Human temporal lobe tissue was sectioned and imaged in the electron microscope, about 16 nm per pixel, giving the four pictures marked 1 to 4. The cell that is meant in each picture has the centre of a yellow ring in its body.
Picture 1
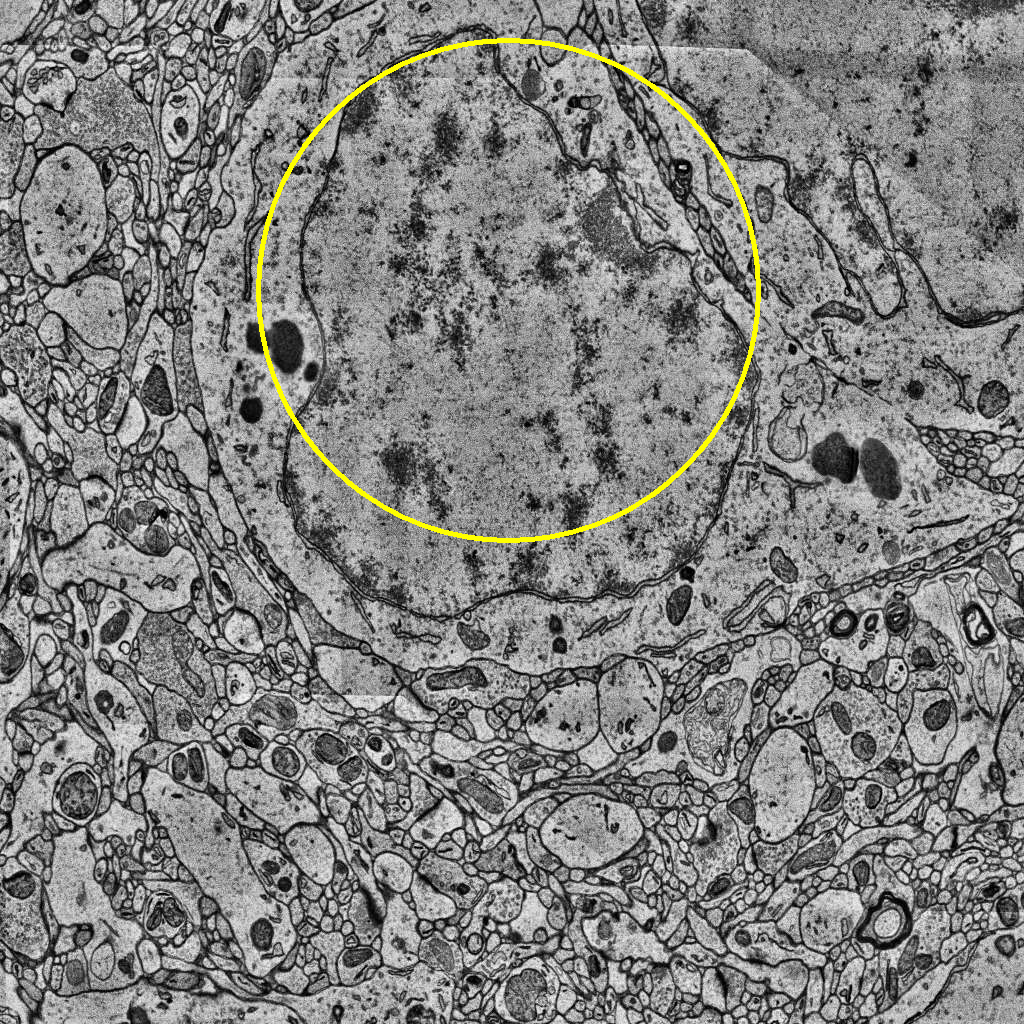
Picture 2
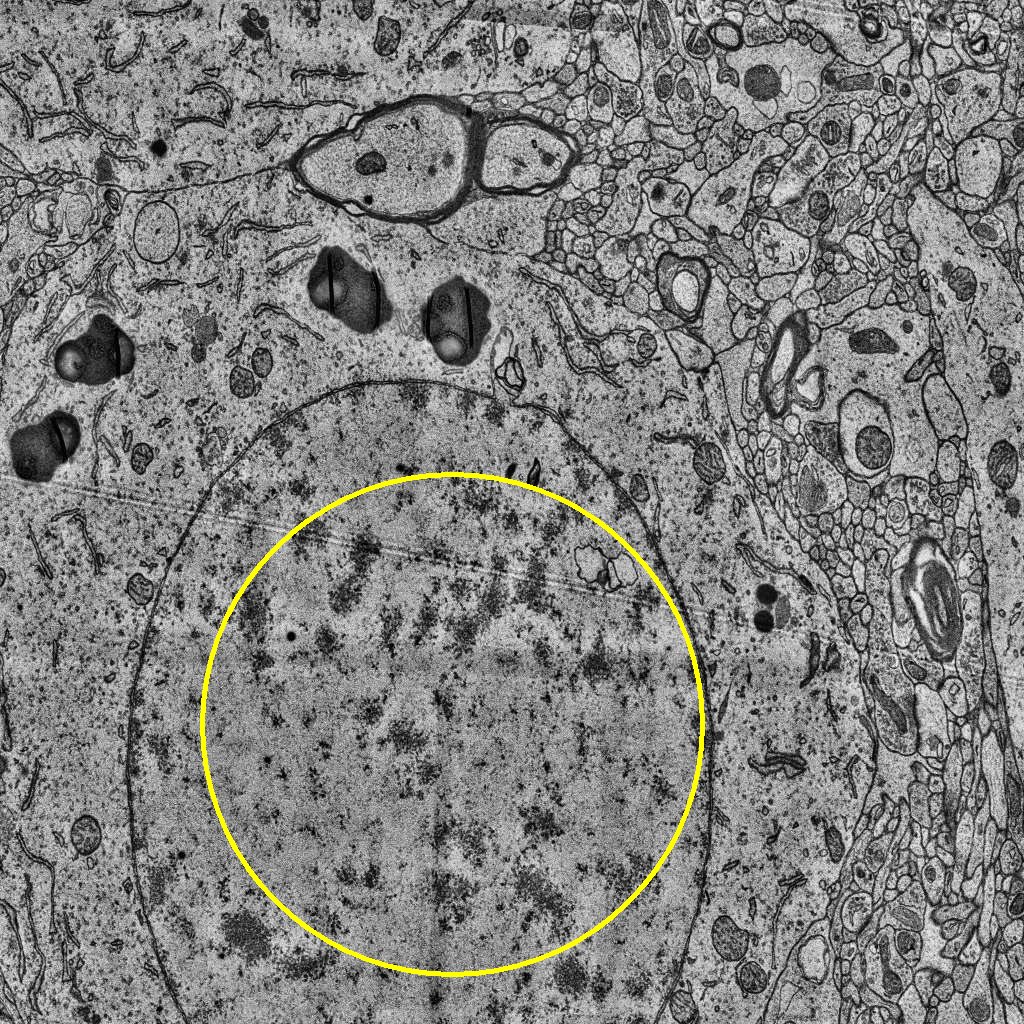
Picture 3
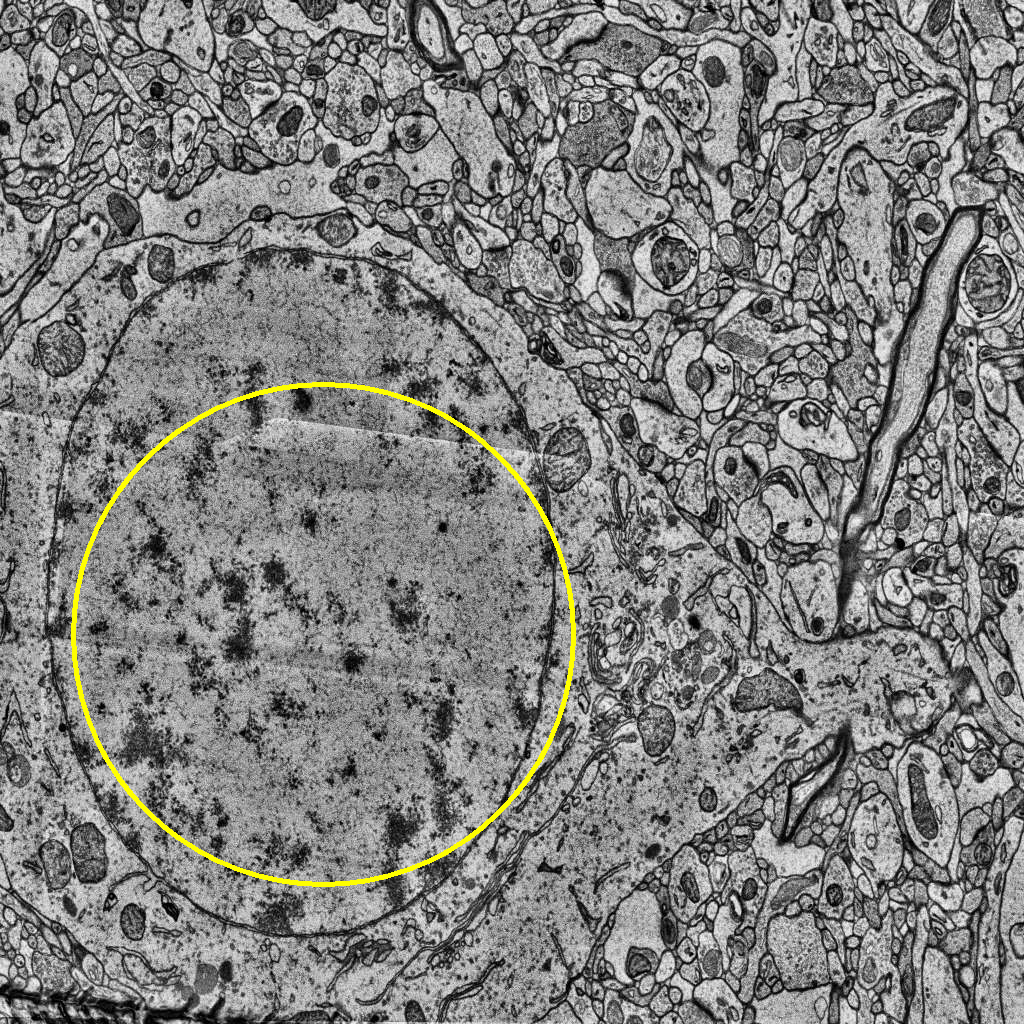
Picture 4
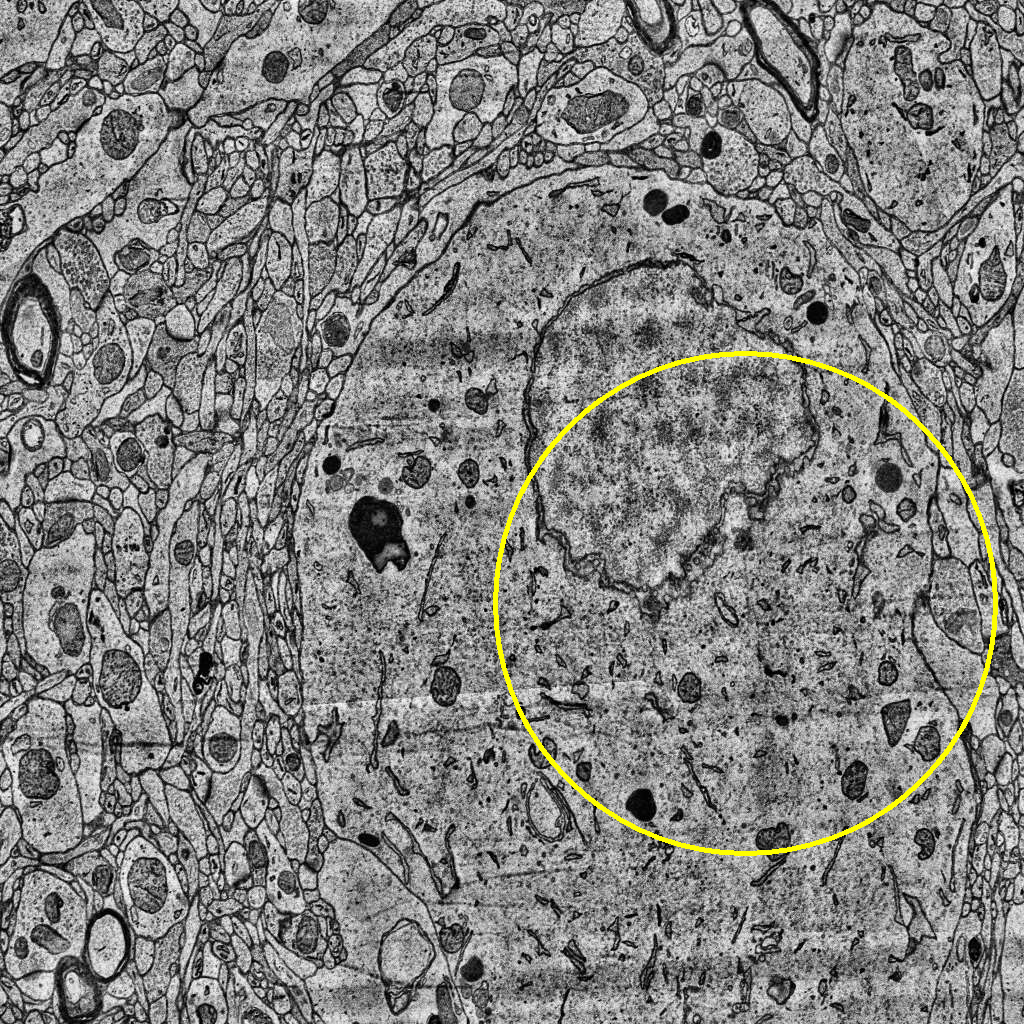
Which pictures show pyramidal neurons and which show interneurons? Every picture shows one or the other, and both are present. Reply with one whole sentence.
Pictures 2, 3 and 4 show pyramidal neurons, and picture 1 shows an interneuron.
